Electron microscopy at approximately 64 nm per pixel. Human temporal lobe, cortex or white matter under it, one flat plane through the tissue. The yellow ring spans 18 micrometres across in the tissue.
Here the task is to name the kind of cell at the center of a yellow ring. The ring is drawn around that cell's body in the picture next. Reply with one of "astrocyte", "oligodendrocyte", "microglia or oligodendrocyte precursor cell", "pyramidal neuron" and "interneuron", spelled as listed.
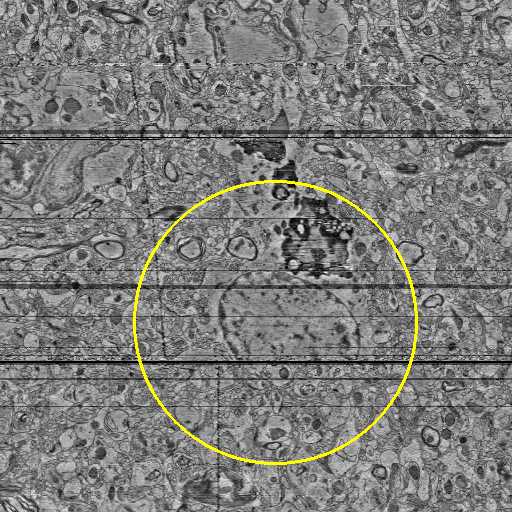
astrocyte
